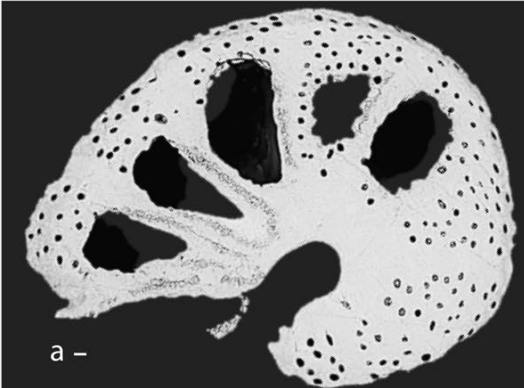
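Sectioned calcareous shell of a single-celled foraminifer, showing several chambers opened in section around a central aperture-like gap. The bright shell wall is densely perforated by small round pores. Lines of small particles run along the walls separating the chambers, lying within the wall itself.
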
